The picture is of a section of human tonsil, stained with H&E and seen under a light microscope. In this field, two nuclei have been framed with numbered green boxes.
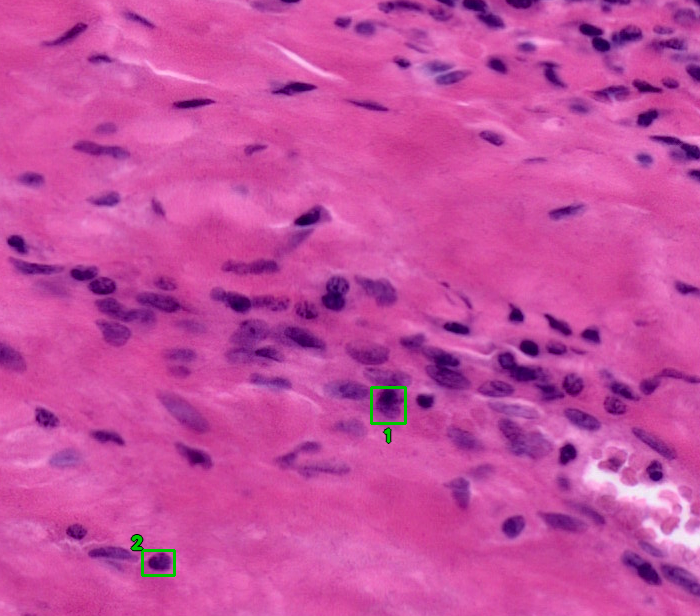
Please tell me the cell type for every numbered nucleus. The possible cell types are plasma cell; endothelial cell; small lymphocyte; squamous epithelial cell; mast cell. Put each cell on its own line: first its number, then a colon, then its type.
1: endothelial cell
2: mast cell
